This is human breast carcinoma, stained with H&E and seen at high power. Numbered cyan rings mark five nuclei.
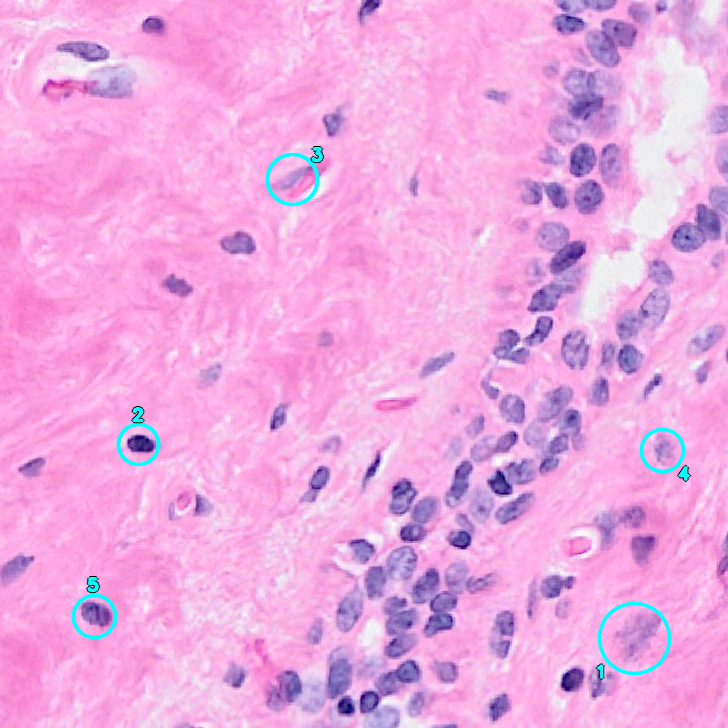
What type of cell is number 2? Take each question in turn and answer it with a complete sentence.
Looking at the numbered marks, cell 2 is a lymphocyte.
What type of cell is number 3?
The cell that is numbered 3 is an endothelial cell.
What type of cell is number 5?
The cell given label 5 is a lymphocyte.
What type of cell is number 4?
Cell number 4 in this section is a fibroblast.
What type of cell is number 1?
The cell marked with the number 1 is a fibroblast.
